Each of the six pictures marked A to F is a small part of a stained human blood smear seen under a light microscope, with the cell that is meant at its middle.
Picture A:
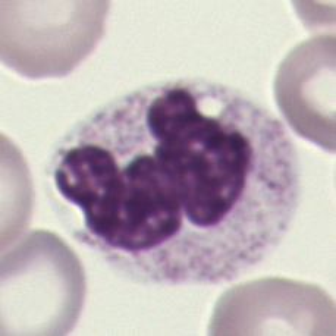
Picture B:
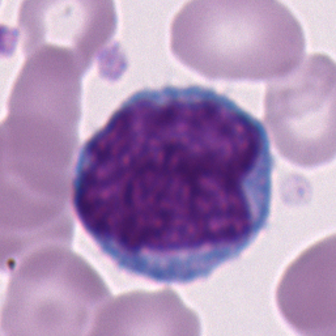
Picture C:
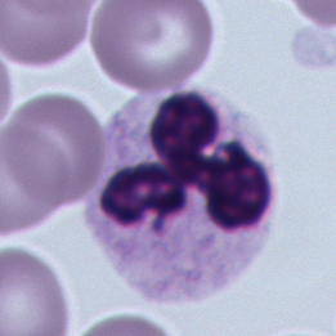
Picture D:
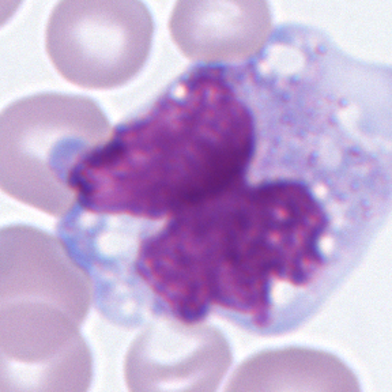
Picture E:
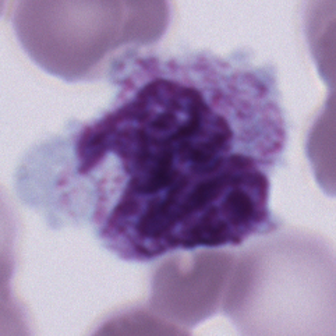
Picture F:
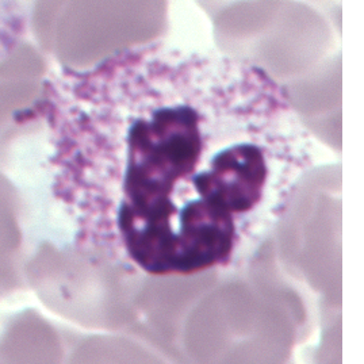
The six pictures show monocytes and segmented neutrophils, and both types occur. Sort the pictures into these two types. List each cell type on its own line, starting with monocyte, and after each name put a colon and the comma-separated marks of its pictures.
monocyte: B, D
segmented neutrophil: A, C, E, F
